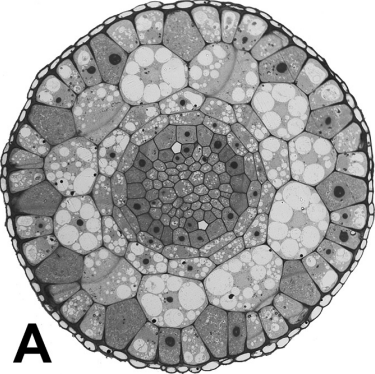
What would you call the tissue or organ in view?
root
